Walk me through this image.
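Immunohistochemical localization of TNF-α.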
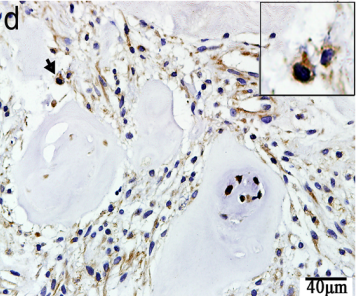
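The surrounding cells have small blue oval to elongated nuclei, many of them spindle-shaped, lying among fine fibres. Brown staining lies in the cytoplasm of many of these cells and along the fibres between them. Within the pale matrix islands, small groups of cells sit in lacunae, some with brown-stained cytoplasm. The inset enlarges a small cluster of cells with dark brown cytoplasm around blue nuclei.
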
